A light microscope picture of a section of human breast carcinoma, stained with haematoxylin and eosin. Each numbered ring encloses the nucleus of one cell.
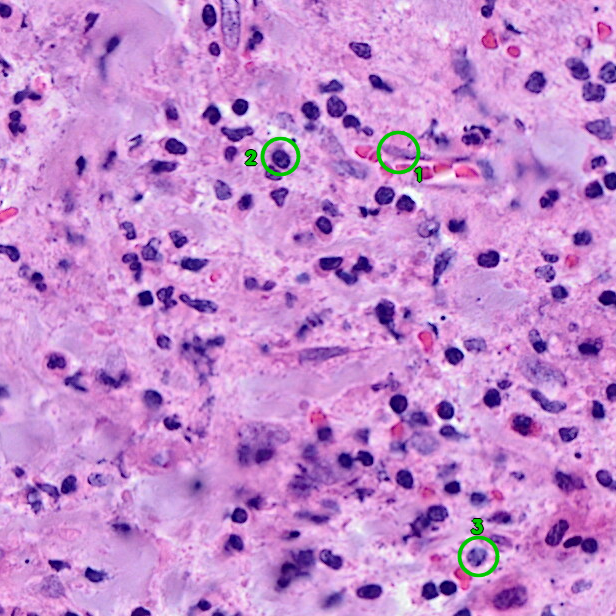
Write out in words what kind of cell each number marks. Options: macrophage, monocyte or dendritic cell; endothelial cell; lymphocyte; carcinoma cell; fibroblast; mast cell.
Cell 1 is an endothelial cell. Cell 2 is a lymphocyte. Cell 3 is a mast cell.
